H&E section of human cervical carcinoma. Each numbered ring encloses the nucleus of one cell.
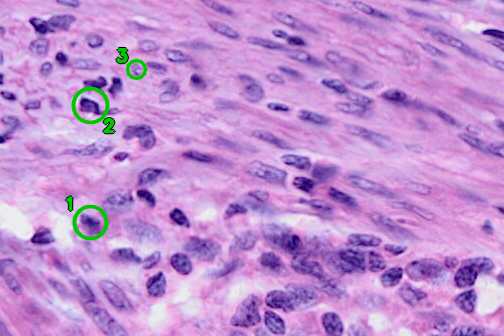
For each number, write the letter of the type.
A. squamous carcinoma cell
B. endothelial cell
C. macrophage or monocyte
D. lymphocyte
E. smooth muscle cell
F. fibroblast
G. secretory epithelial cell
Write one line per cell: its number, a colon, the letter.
1: D
2: D
3: E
